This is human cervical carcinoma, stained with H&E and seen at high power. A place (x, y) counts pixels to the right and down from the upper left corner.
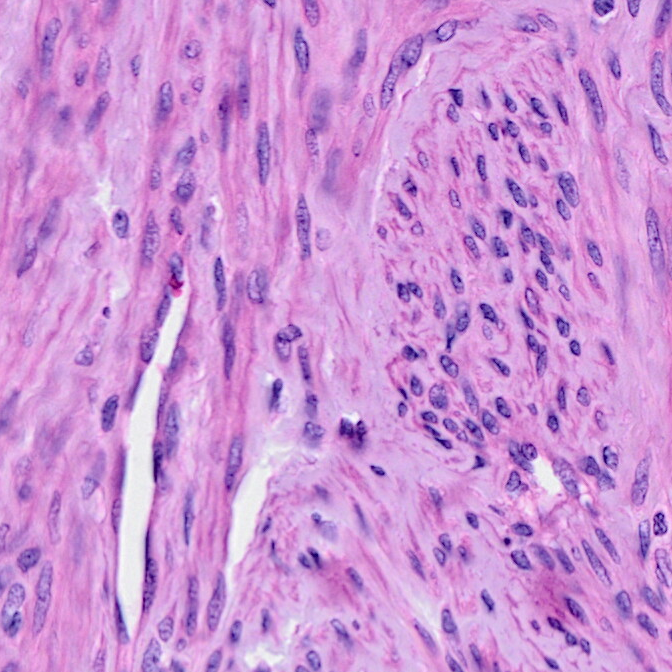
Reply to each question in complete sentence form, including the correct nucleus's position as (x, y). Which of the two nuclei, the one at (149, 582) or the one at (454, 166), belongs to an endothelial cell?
Of the two candidate nuclei, the one at (149, 582) is that of an endothelial cell.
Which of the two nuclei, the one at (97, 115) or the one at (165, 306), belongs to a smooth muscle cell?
Of these two nuclei, only the one at (97, 115) belongs to a smooth muscle cell.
